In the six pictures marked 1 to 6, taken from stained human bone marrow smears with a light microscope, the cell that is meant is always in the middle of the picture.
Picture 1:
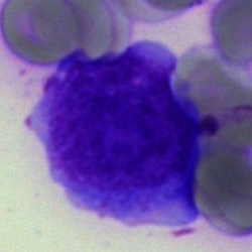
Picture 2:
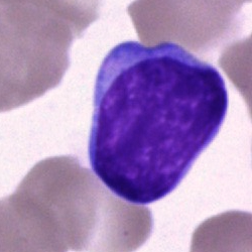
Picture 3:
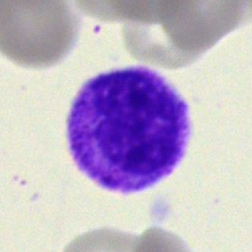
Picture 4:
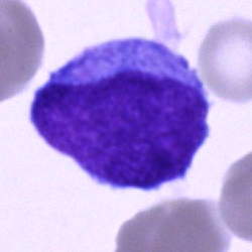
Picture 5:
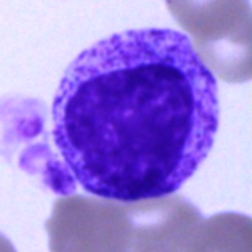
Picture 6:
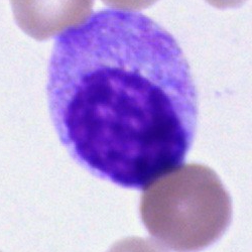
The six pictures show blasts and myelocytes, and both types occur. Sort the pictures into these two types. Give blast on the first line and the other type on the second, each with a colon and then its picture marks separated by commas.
blast: 1, 2, 4
myelocyte: 3, 5, 6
